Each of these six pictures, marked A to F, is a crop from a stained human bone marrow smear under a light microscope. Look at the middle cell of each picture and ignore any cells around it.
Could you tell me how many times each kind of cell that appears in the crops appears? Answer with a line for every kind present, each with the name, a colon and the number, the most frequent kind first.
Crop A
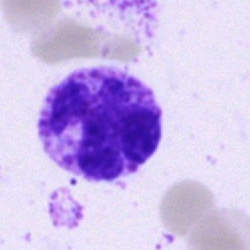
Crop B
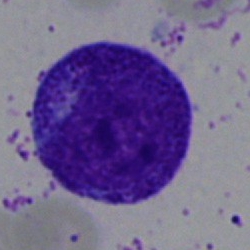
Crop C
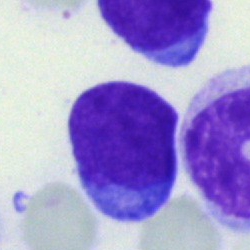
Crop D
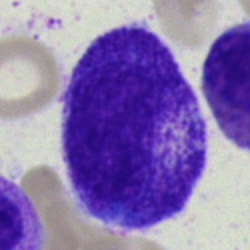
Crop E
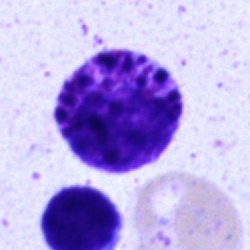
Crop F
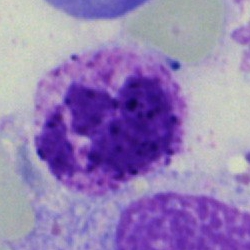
basophil: 3
promyelocyte: 2
blast: 1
